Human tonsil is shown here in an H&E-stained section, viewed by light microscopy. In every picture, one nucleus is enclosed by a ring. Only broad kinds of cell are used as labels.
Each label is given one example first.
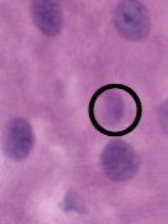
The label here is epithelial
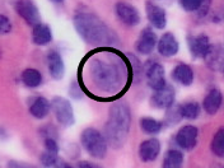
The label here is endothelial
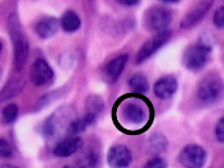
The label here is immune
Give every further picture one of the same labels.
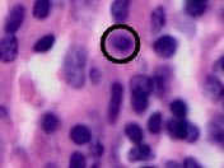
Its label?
endothelial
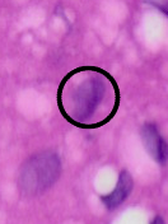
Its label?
epithelial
